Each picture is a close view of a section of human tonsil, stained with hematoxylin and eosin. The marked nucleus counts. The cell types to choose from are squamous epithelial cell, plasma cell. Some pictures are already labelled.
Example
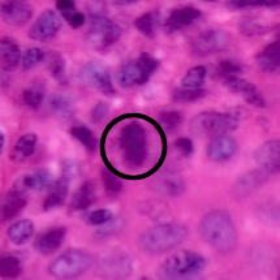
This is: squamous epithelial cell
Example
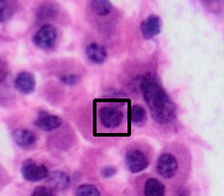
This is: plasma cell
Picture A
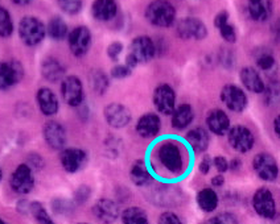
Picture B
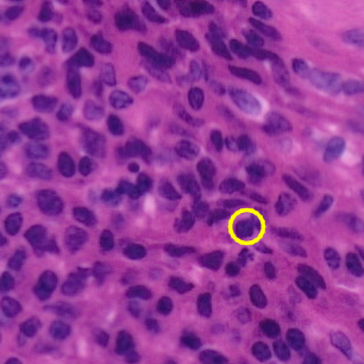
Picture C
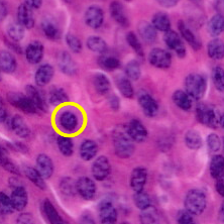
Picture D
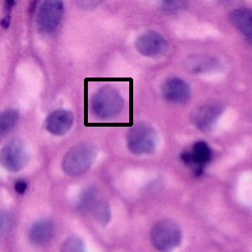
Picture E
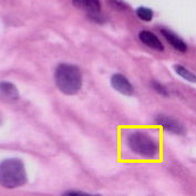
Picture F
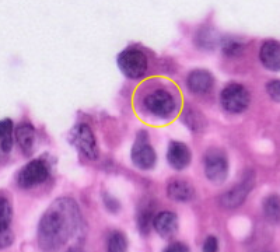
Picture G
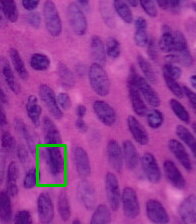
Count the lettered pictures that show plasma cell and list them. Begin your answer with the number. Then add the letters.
4: A, B, C, F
